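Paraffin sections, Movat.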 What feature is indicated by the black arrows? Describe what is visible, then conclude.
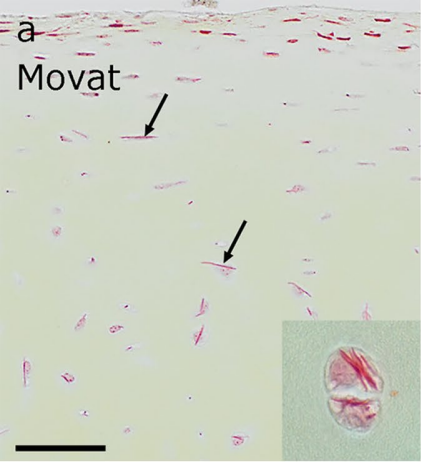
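Thin, straight, needle-like bodies lie inside the cells. The needles are stained a deeper red than the pale cells around them. The inset shows several needles within a single cell. So: crystals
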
